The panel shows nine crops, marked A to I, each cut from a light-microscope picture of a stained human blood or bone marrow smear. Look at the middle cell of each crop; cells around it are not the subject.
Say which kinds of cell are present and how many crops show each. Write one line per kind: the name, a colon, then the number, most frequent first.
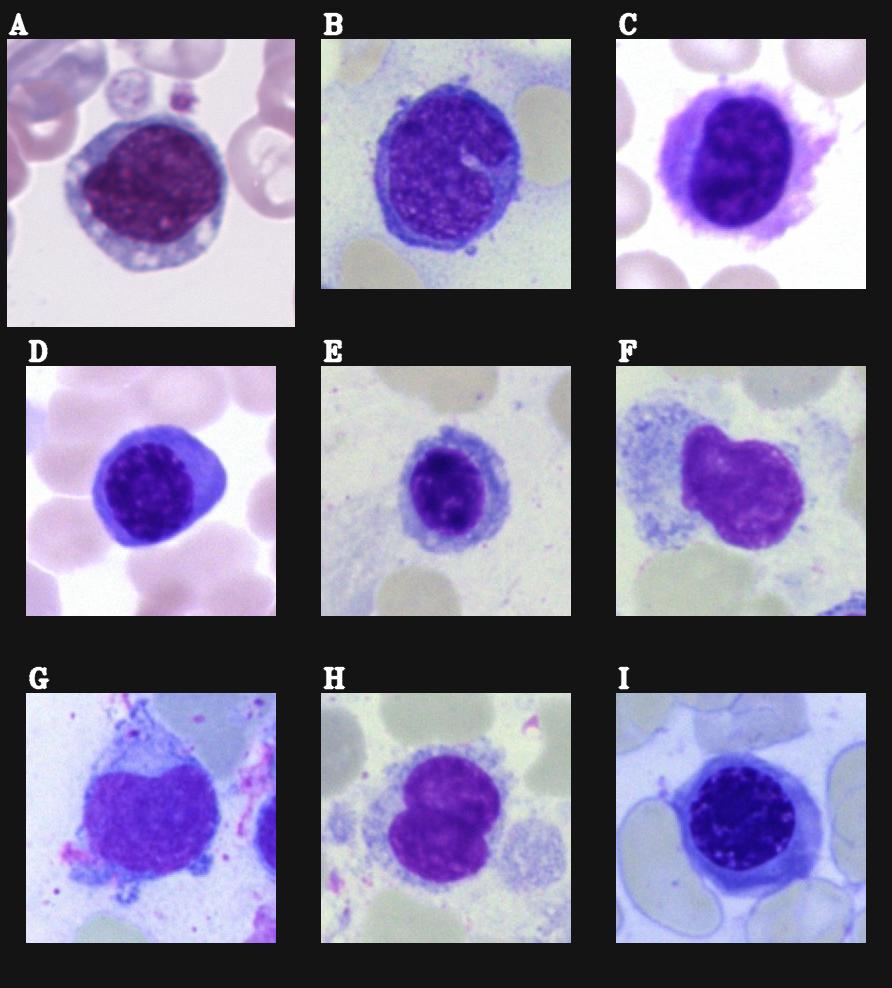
hairy cell: 4
erythroblast: 3
monocyte: 2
